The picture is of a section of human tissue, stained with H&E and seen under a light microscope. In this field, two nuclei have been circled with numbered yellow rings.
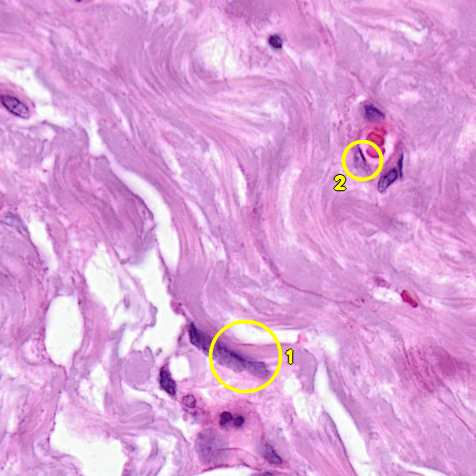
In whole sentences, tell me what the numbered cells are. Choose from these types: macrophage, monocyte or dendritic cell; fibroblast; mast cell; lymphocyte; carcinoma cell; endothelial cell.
Cell 1 is a fibroblast. Cell 2 is an endothelial cell.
